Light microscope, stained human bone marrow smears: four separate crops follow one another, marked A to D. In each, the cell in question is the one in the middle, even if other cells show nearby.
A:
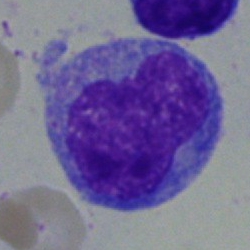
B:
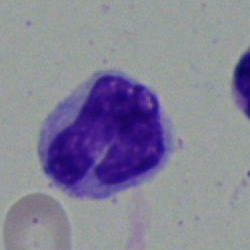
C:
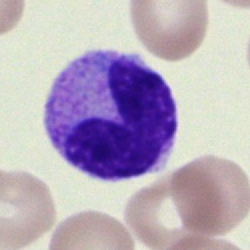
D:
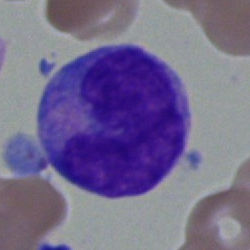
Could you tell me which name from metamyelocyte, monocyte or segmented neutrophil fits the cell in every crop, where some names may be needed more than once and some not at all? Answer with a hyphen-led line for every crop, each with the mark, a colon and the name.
- A: monocyte
- B: monocyte
- C: metamyelocyte
- D: monocyte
